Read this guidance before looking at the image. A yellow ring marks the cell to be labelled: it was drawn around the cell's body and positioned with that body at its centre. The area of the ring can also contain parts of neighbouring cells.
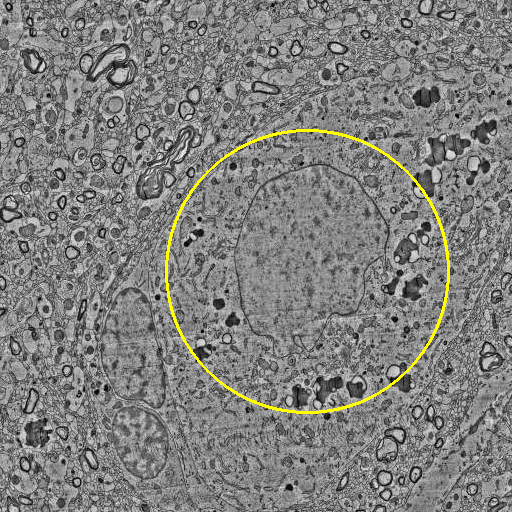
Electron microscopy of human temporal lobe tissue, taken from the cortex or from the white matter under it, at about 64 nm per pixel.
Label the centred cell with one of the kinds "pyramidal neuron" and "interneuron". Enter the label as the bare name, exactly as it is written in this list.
pyramidal neuron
